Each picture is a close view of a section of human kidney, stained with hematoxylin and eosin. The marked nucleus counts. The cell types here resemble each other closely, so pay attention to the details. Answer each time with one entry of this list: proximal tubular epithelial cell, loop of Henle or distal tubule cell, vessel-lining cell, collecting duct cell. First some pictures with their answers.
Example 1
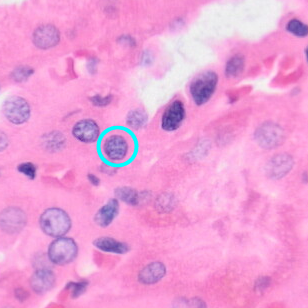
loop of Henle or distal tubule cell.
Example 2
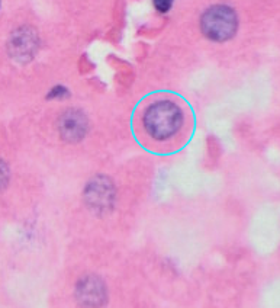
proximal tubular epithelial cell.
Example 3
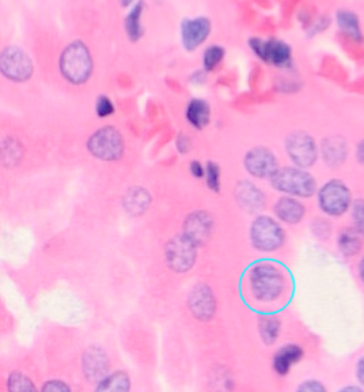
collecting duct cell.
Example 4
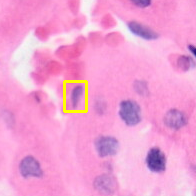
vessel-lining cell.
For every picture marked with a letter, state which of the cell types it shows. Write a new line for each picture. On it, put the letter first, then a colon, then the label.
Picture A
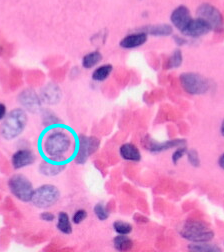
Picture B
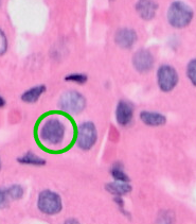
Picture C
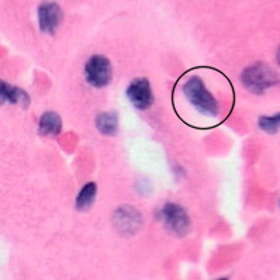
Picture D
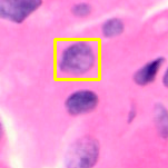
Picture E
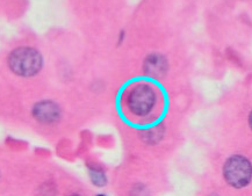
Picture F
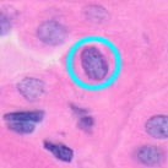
A: collecting duct cell.
B: loop of Henle or distal tubule cell.
C: vessel-lining cell.
D: loop of Henle or distal tubule cell.
E: proximal tubular epithelial cell.
F: loop of Henle or distal tubule cell.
